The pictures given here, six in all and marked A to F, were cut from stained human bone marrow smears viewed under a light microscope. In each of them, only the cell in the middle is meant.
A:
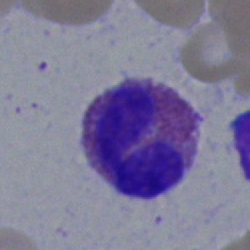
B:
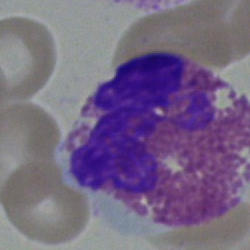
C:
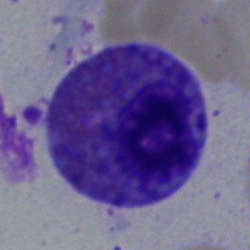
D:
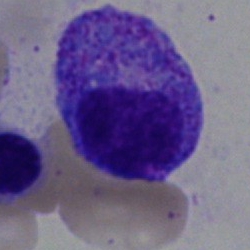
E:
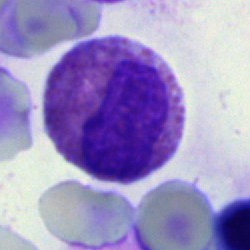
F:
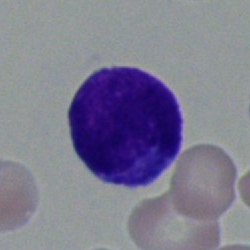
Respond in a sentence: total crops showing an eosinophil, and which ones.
Altogether, crops A, B, C and E show eosinophils, giving four crops.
